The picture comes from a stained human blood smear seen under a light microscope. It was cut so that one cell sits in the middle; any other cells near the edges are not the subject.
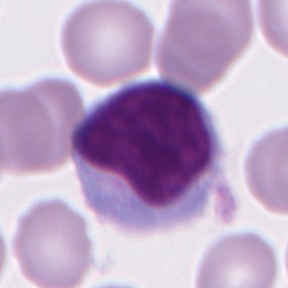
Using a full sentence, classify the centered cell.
At the middle of the frame sits a typical lymphocyte.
